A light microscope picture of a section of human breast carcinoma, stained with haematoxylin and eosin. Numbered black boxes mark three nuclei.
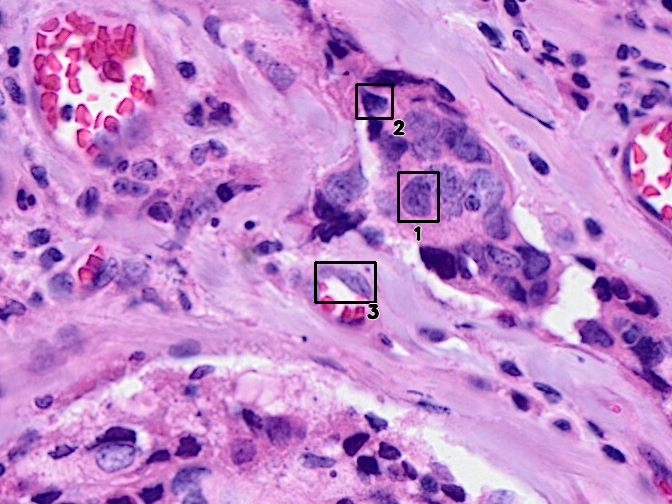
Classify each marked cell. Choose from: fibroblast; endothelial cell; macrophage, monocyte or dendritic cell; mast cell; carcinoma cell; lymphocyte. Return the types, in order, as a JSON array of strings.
["carcinoma cell", "carcinoma cell", "endothelial cell"]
